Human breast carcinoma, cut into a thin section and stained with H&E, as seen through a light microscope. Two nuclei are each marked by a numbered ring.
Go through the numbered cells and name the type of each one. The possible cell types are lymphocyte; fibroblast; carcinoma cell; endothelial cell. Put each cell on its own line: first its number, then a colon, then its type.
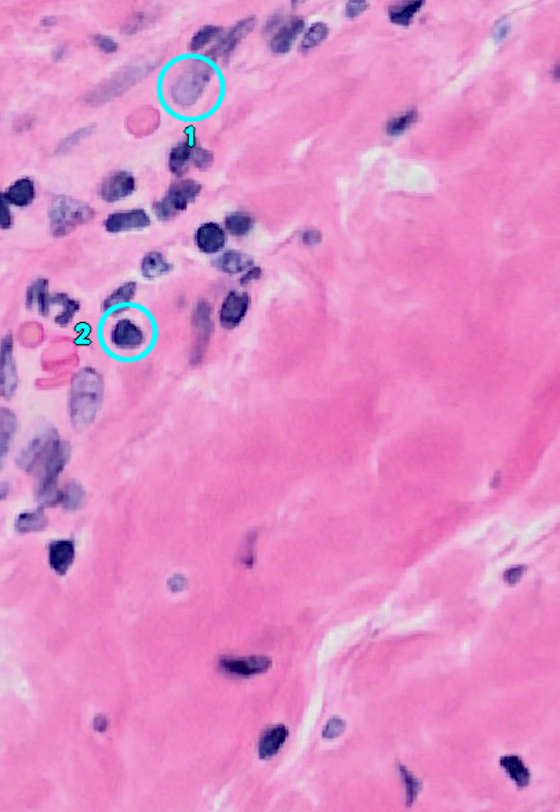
1: endothelial cell
2: lymphocyte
